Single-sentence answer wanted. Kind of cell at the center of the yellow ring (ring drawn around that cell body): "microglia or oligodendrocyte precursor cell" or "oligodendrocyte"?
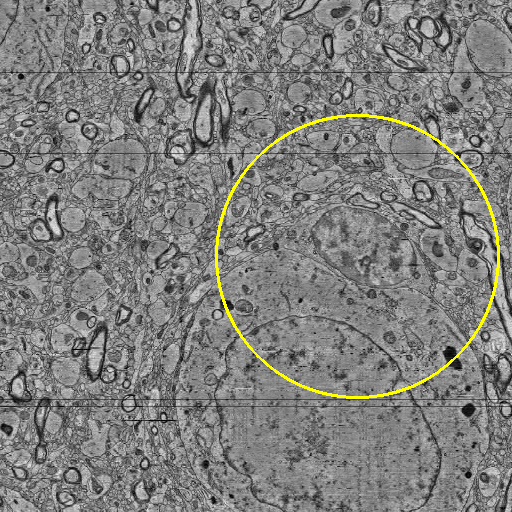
The cell centered in the ring is an oligodendrocyte.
